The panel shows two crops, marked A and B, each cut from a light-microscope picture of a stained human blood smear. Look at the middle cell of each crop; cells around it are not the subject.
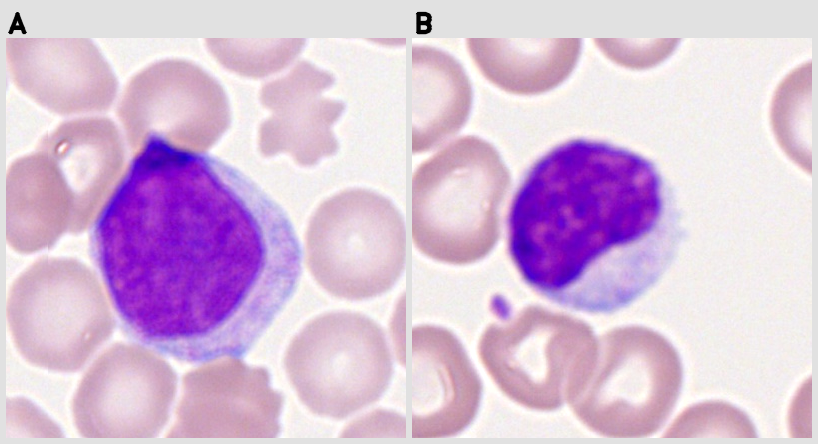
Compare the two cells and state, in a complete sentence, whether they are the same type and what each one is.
No, what crop A shows is a myeloblast, and what crop B shows is a lymphocyte.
